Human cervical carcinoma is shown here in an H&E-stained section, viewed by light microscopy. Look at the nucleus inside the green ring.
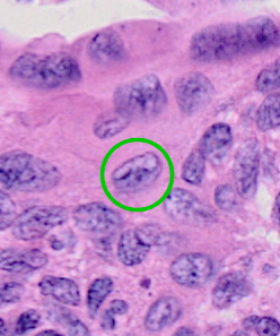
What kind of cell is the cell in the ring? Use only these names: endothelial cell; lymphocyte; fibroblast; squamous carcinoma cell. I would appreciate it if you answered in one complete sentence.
The cell type of the cell in the ring is that of a squamous carcinoma cell.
